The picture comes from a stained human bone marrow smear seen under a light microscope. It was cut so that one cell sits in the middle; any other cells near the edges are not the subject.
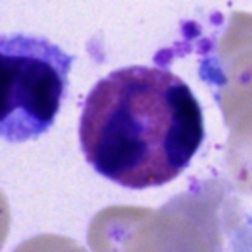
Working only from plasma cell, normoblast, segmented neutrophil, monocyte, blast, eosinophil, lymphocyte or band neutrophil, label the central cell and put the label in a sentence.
The centered cell in this crop is an eosinophil.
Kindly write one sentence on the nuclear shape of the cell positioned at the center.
The nucleus is divided into two or more distinct lobes.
